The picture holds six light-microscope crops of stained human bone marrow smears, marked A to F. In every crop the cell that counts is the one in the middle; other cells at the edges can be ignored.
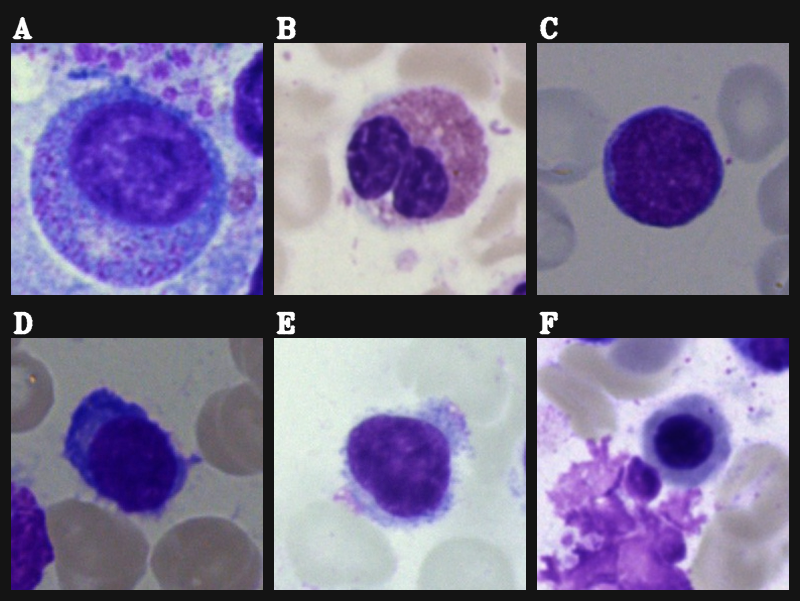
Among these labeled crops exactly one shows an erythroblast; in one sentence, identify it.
Crop F is identified as the crop showing an erythroblast.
